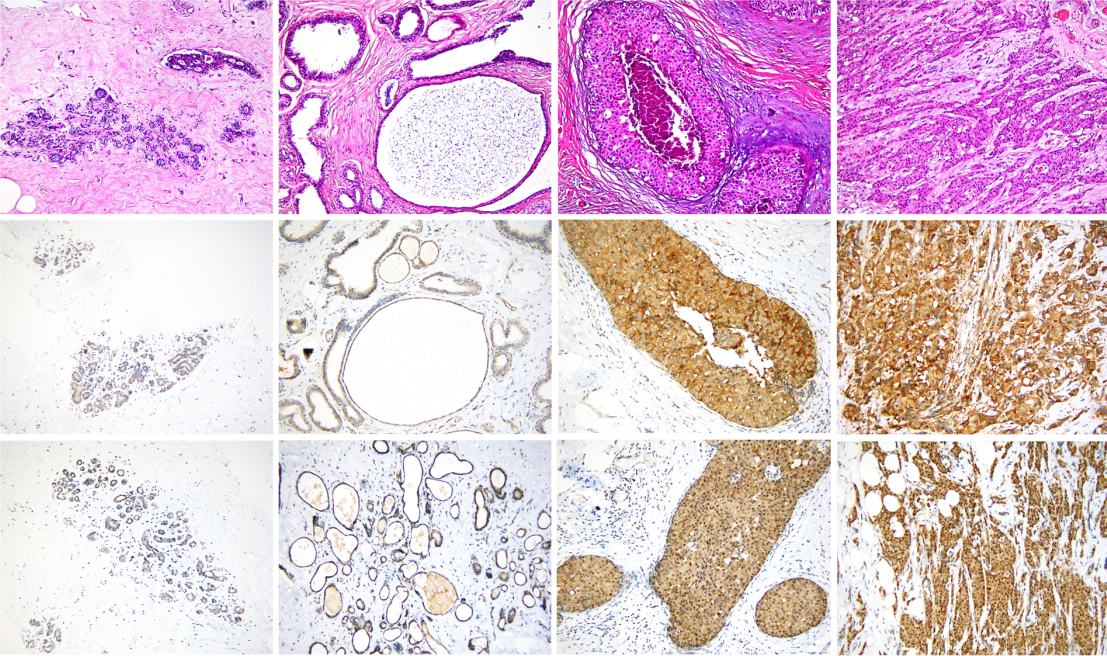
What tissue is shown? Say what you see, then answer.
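Breast tissues. Small ducts and acini grouped in lobules within dense pink fibrous stroma. Clusters of empty round fat cells in the stroma.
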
